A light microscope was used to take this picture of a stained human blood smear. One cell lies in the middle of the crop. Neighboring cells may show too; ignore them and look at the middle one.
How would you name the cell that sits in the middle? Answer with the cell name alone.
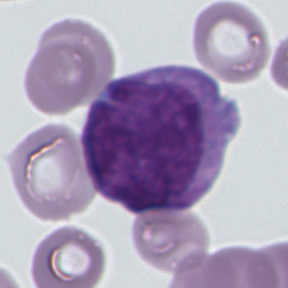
atypical promyelocyte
